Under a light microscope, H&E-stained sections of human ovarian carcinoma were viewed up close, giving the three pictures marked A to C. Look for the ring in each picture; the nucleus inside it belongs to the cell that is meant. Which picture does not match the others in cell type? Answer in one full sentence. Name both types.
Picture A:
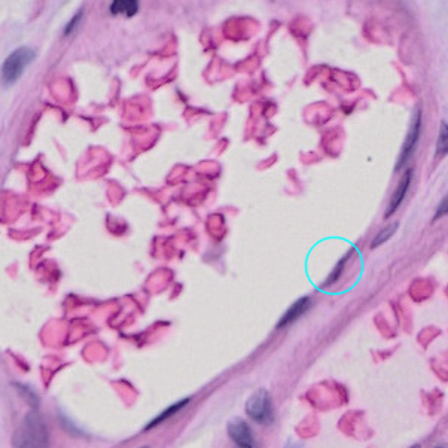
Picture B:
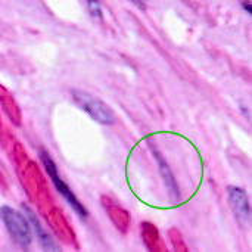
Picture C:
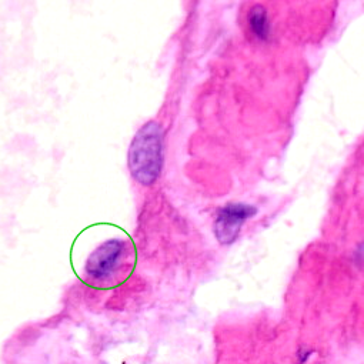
The different one is picture B; it shows a fibroblast, whereas all the others show endothelial cells.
